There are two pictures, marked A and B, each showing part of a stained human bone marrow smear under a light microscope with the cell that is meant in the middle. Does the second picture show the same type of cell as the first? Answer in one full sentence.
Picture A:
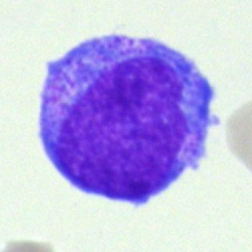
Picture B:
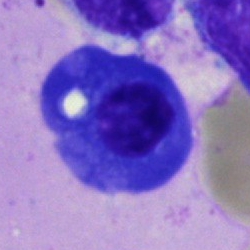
No, picture A shows a promyelocyte and picture B shows a plasma cell.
